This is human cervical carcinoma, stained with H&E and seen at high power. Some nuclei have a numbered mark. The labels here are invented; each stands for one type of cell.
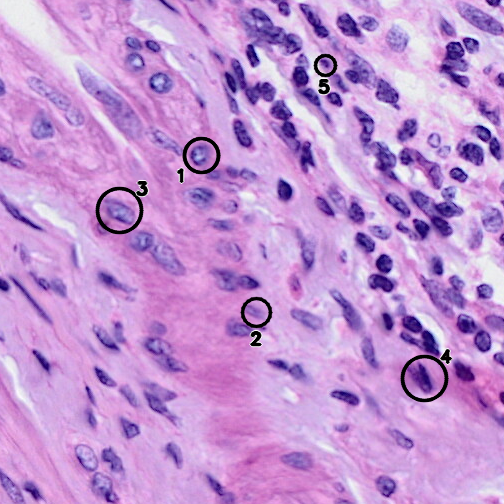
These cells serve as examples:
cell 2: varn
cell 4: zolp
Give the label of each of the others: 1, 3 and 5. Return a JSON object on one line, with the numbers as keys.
{"1": "varn", "3": "varn", "5": "zolp"}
